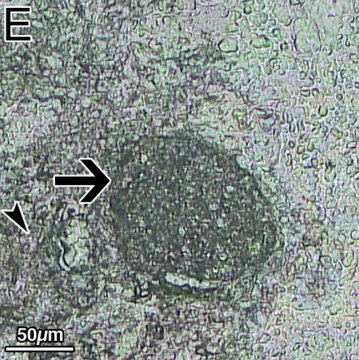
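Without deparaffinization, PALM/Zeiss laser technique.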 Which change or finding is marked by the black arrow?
sclerosed glomeruli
